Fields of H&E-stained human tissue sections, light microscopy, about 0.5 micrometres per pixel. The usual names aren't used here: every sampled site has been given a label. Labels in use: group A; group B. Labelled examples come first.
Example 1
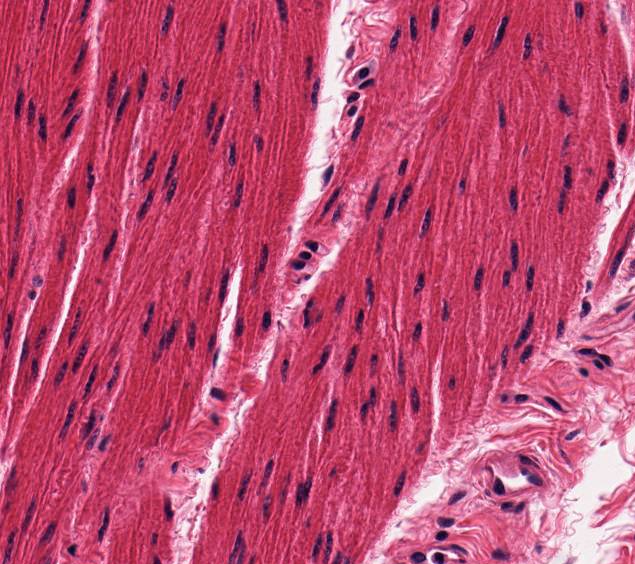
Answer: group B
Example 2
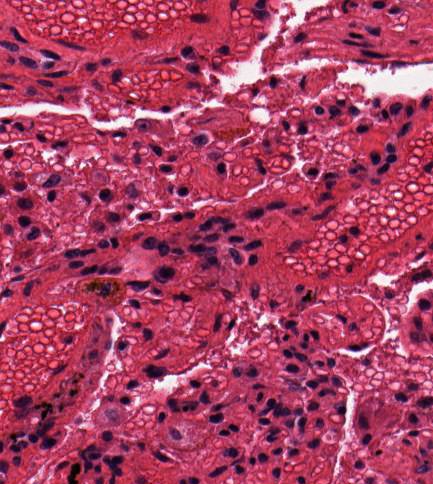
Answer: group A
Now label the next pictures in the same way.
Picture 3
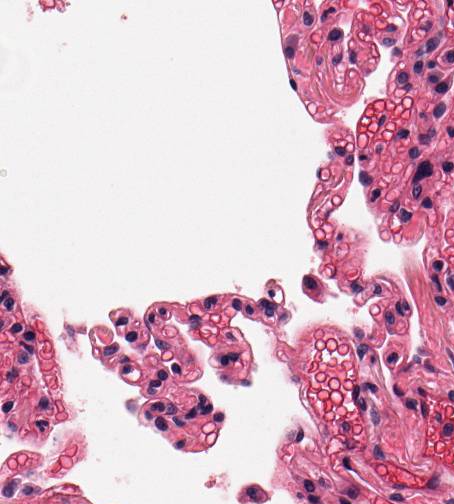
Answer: group A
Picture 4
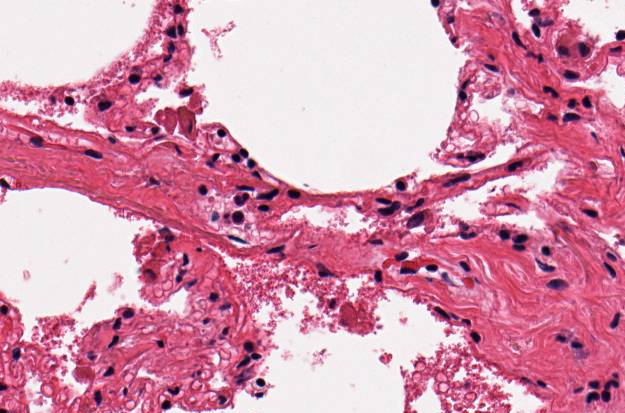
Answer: group A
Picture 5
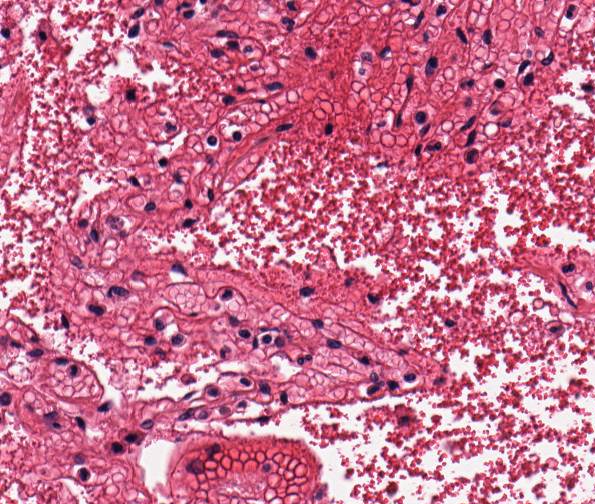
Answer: group A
